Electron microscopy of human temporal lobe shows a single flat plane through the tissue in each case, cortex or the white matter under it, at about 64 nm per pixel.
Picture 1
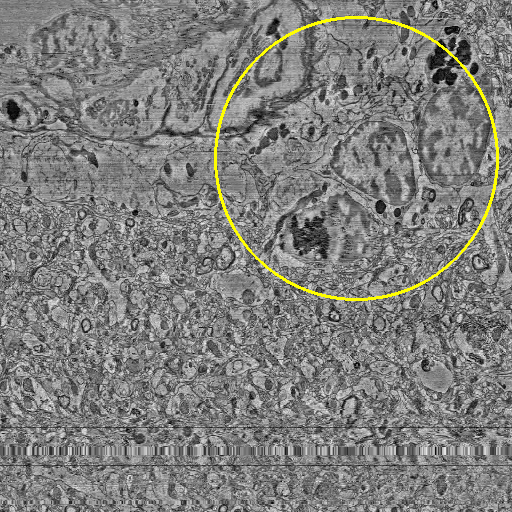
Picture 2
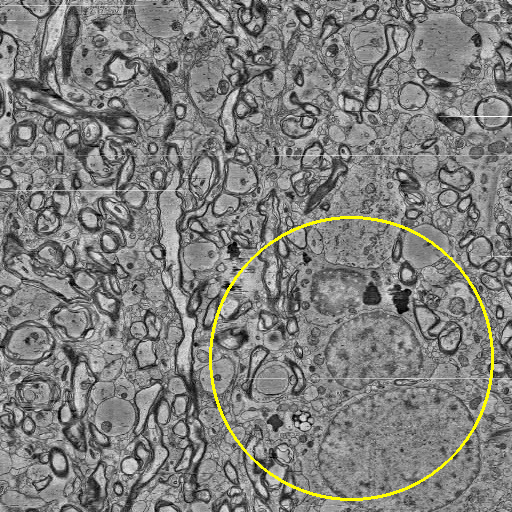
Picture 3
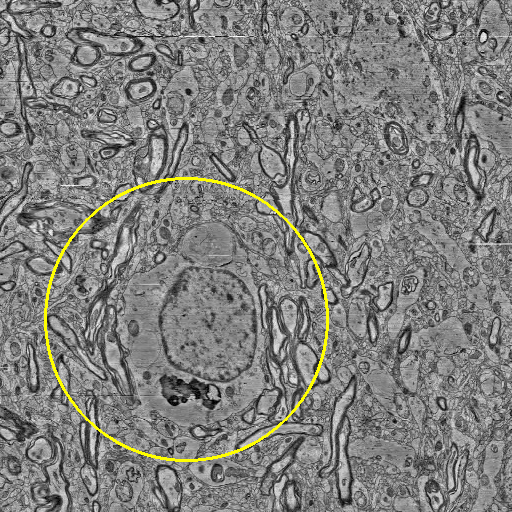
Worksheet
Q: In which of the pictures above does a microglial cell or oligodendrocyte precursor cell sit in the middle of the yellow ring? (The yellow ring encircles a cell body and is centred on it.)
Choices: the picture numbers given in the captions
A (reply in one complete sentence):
In picture 1, the cell sitting at the centre of the ring is the match.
